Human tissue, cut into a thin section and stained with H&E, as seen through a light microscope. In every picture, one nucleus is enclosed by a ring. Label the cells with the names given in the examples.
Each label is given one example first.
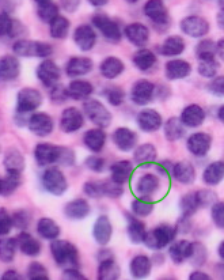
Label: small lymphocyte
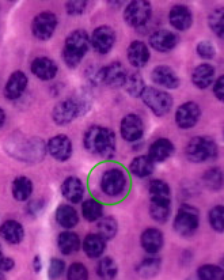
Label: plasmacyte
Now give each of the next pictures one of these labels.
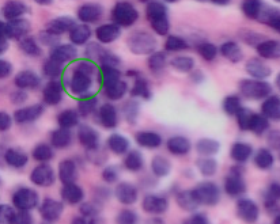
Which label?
small lymphocyte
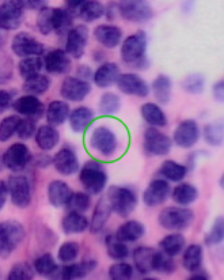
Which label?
small lymphocyte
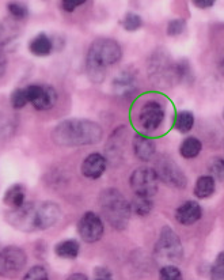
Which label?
plasmacyte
